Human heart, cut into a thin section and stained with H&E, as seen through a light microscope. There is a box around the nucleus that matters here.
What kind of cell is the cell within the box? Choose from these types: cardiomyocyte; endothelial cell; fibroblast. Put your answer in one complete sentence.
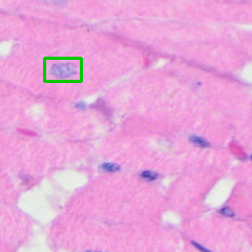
Among the cells in this section, the cell within the box is a cardiomyocyte.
